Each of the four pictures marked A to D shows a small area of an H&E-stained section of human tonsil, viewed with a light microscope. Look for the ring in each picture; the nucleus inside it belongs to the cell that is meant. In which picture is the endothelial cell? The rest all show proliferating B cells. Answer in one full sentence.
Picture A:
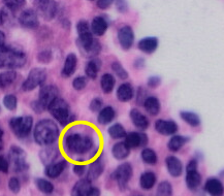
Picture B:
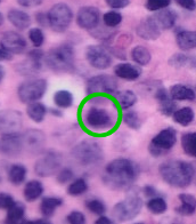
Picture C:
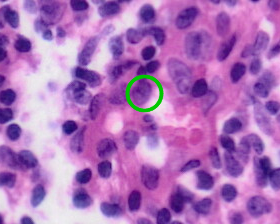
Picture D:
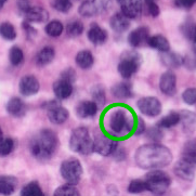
The cell in picture C is the endothelial cell.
